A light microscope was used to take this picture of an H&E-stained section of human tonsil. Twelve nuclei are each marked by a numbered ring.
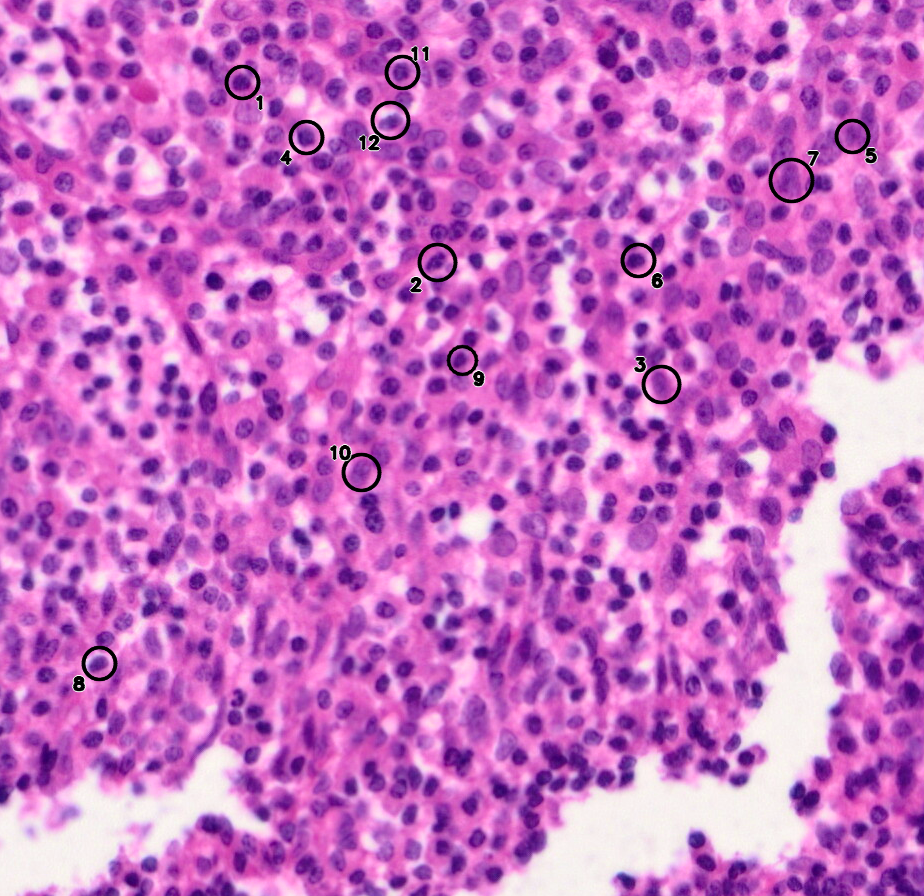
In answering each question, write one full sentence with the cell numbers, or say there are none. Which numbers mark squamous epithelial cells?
To be specific, the cells numbered 3, 5, 7, 10 and 12 are squamous epithelial cells.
